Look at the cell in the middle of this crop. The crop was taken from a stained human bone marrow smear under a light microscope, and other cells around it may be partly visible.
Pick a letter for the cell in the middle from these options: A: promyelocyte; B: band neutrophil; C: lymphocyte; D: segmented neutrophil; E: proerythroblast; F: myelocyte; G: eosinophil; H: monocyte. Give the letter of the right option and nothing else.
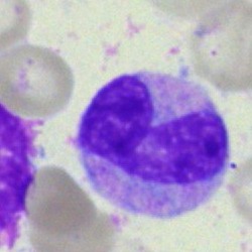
H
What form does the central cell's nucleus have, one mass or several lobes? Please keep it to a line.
Between us, the nucleus here is just one compact mass, round, oval or kidney-shaped.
